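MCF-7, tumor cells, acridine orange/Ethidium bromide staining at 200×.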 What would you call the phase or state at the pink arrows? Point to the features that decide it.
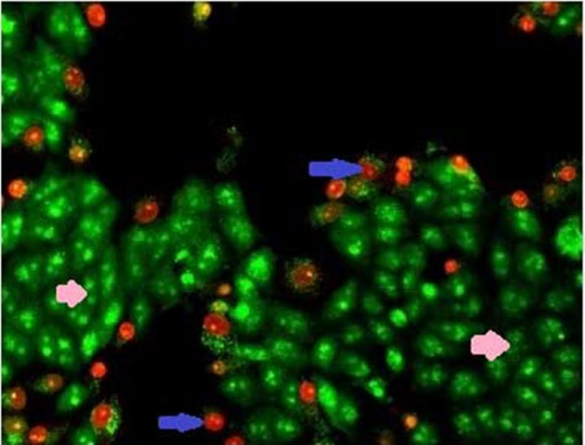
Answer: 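Early apoptotic. The marked cells are still green. Their nuclei show bright green granular, speckled spots rather than even staining.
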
